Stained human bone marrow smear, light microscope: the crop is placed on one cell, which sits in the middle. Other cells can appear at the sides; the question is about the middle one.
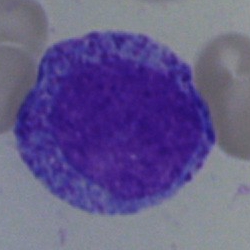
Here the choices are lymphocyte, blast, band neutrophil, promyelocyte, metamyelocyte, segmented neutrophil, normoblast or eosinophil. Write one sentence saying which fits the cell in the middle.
The central cell shown in this smear crop is a promyelocyte.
